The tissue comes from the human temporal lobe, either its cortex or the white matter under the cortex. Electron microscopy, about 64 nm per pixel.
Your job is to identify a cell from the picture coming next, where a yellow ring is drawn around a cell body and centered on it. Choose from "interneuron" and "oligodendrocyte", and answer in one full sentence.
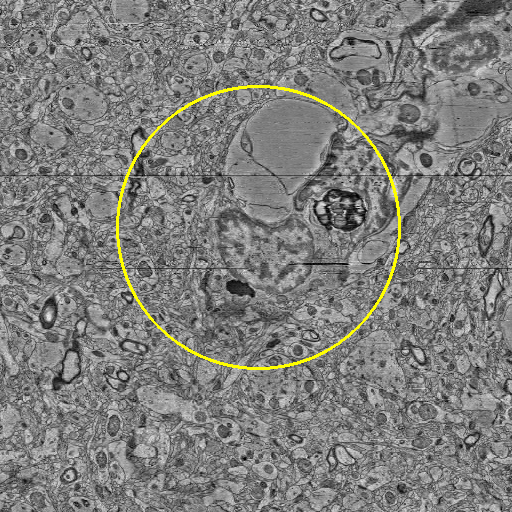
Centered in the yellow ring of the picture is the body of an oligodendrocyte.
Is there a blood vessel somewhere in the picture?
Yes, there is a blood vessel.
